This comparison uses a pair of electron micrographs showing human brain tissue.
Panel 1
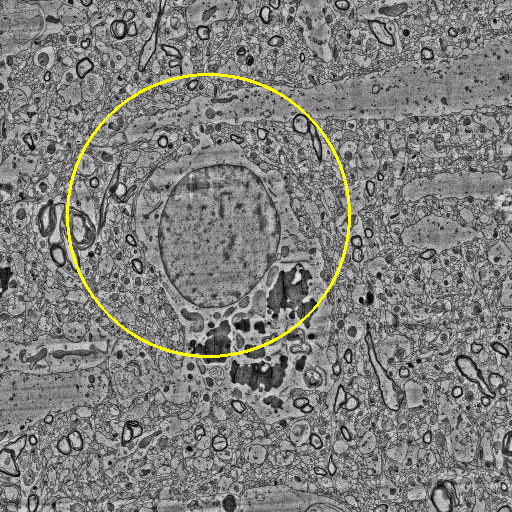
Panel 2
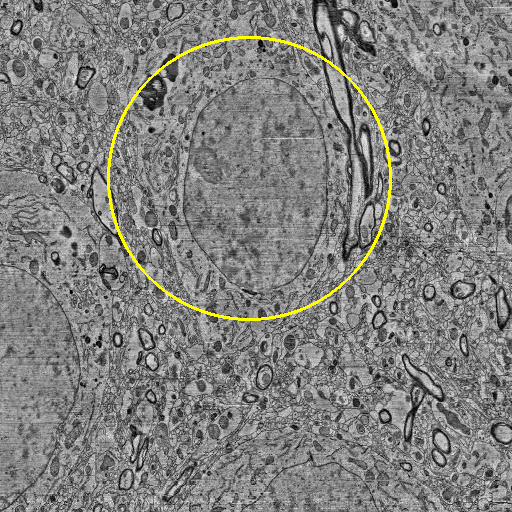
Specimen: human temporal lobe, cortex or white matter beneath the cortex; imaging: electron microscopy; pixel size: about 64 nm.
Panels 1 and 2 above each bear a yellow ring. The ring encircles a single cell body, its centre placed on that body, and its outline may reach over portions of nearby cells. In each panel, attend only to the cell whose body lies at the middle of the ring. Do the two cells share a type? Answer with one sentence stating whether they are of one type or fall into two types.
In Panel 1 and Panel 2, the cells at the centres of the rings fall into two types.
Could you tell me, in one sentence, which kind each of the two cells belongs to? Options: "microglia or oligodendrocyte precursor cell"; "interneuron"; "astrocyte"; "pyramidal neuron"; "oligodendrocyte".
At the centre of the first ring sits an astrocyte, and at the centre of the second sits an interneuron.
